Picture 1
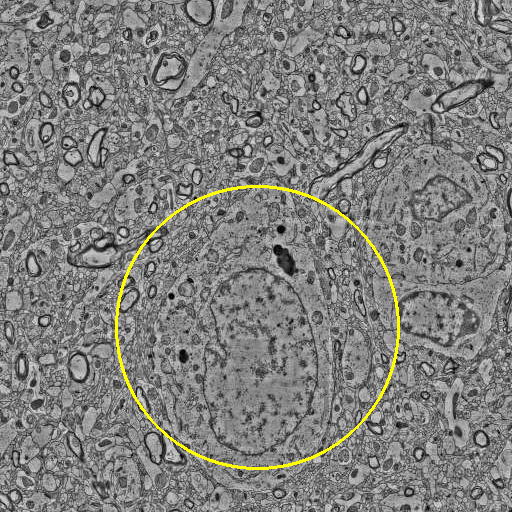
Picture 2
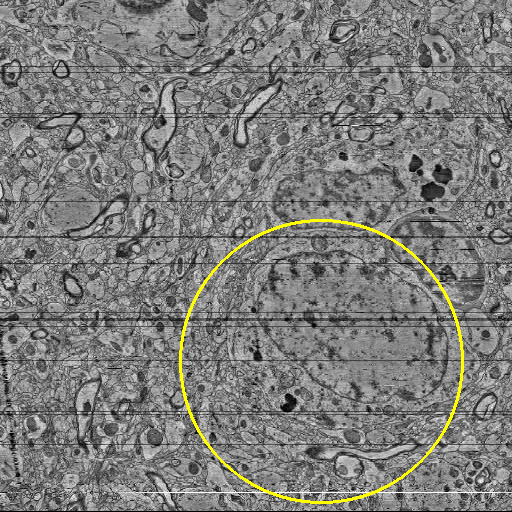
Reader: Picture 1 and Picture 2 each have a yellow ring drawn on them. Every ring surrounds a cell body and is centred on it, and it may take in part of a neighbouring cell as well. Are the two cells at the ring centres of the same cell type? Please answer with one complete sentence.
Yes, both cells are of the same cell type.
